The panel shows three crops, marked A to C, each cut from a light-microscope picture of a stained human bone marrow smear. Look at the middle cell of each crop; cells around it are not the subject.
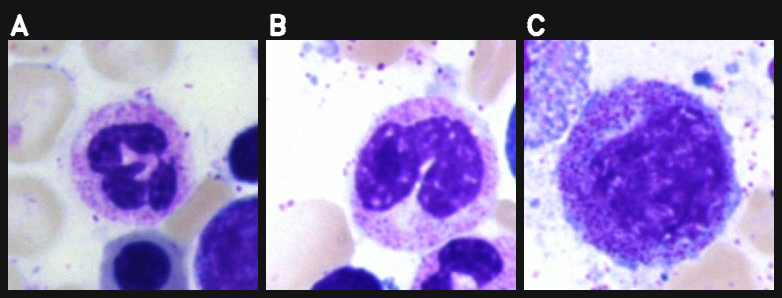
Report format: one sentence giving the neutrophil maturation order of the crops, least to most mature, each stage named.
Least mature first and most mature last, the sequence is crop C (a myelocyte), crop B (a band neutrophil) and crop A (a segmented neutrophil).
